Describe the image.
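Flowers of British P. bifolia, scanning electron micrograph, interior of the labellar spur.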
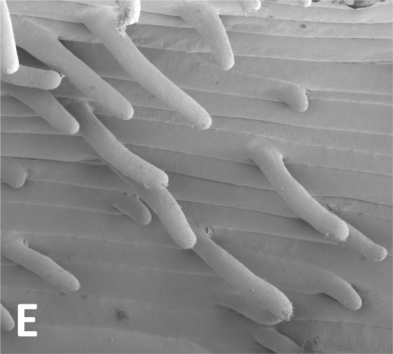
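The underlying cells are long and narrow, lying side by side in parallel rows with smooth surfaces. From them rise slender, cylindrical, finger-like papillae with rounded tips, all leaning in roughly the same direction.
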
